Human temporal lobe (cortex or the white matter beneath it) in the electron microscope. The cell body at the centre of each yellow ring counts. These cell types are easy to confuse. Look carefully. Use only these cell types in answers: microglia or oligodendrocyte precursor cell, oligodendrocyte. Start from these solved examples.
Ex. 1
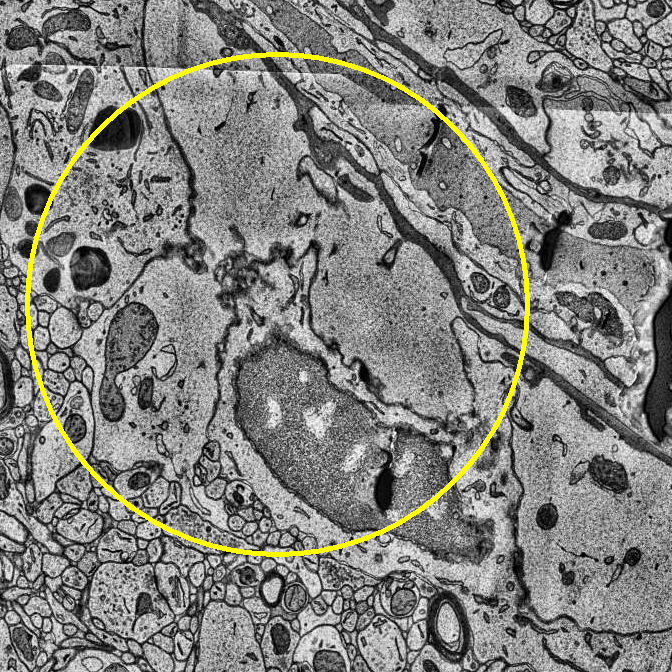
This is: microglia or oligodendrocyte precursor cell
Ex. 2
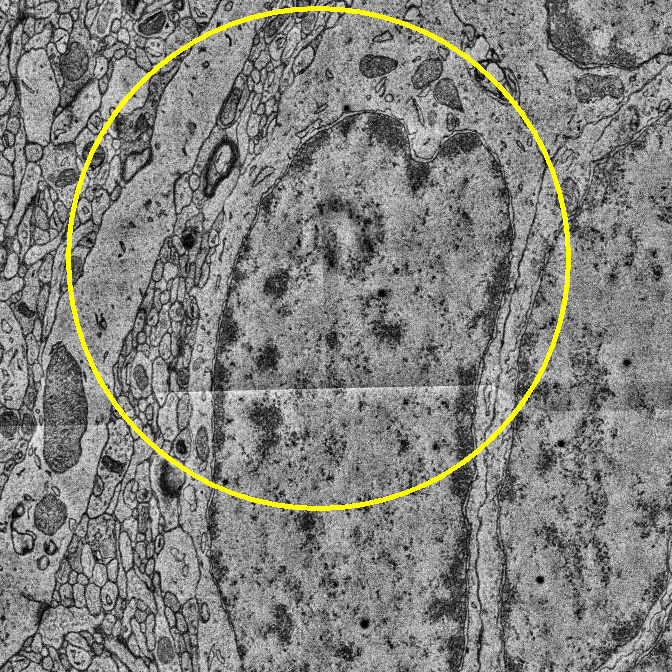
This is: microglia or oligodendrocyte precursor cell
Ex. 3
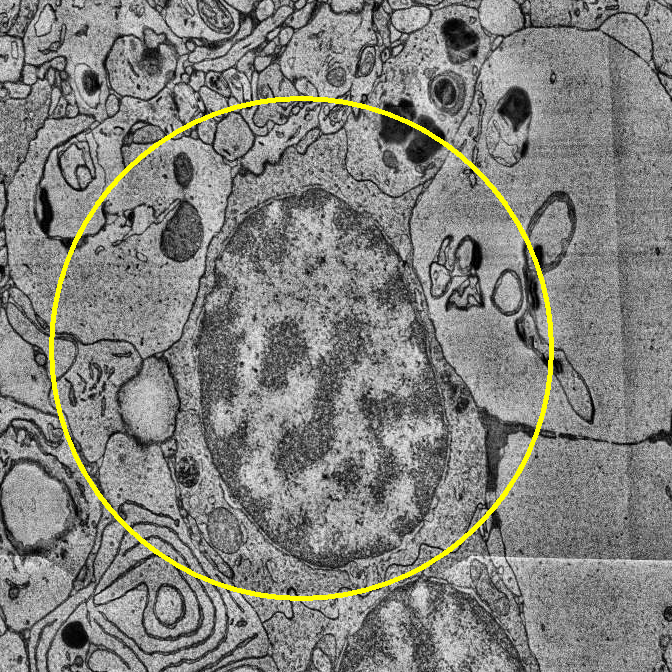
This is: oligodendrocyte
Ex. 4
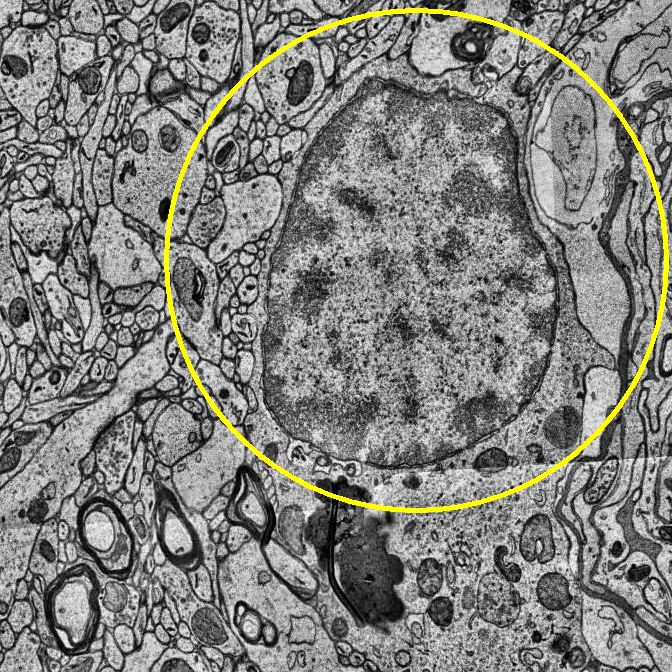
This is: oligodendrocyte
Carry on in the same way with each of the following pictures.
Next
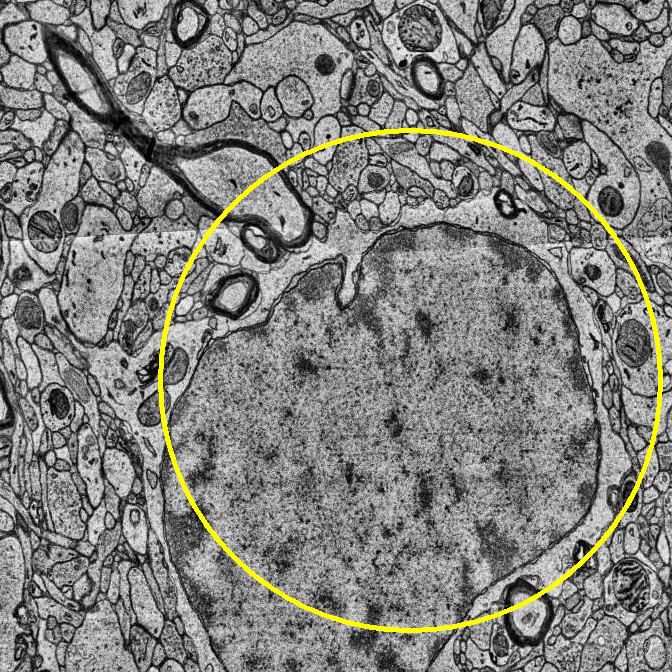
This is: microglia or oligodendrocyte precursor cell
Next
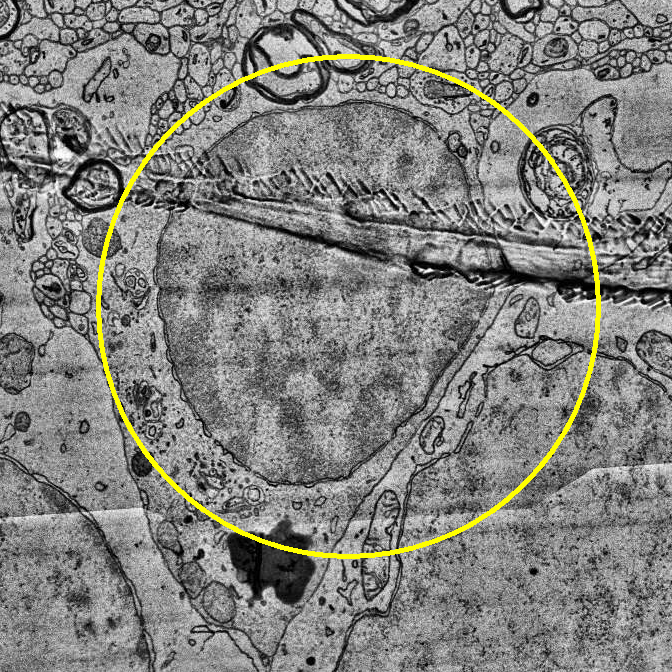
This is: oligodendrocyte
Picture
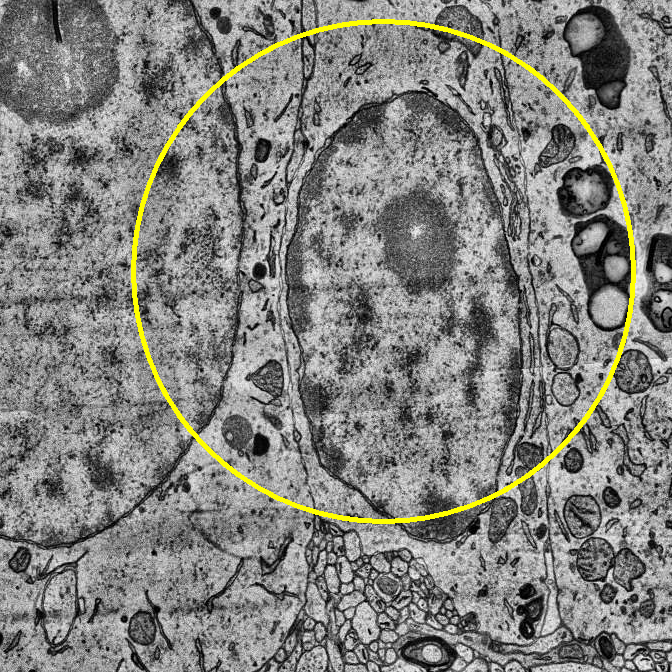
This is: microglia or oligodendrocyte precursor cell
